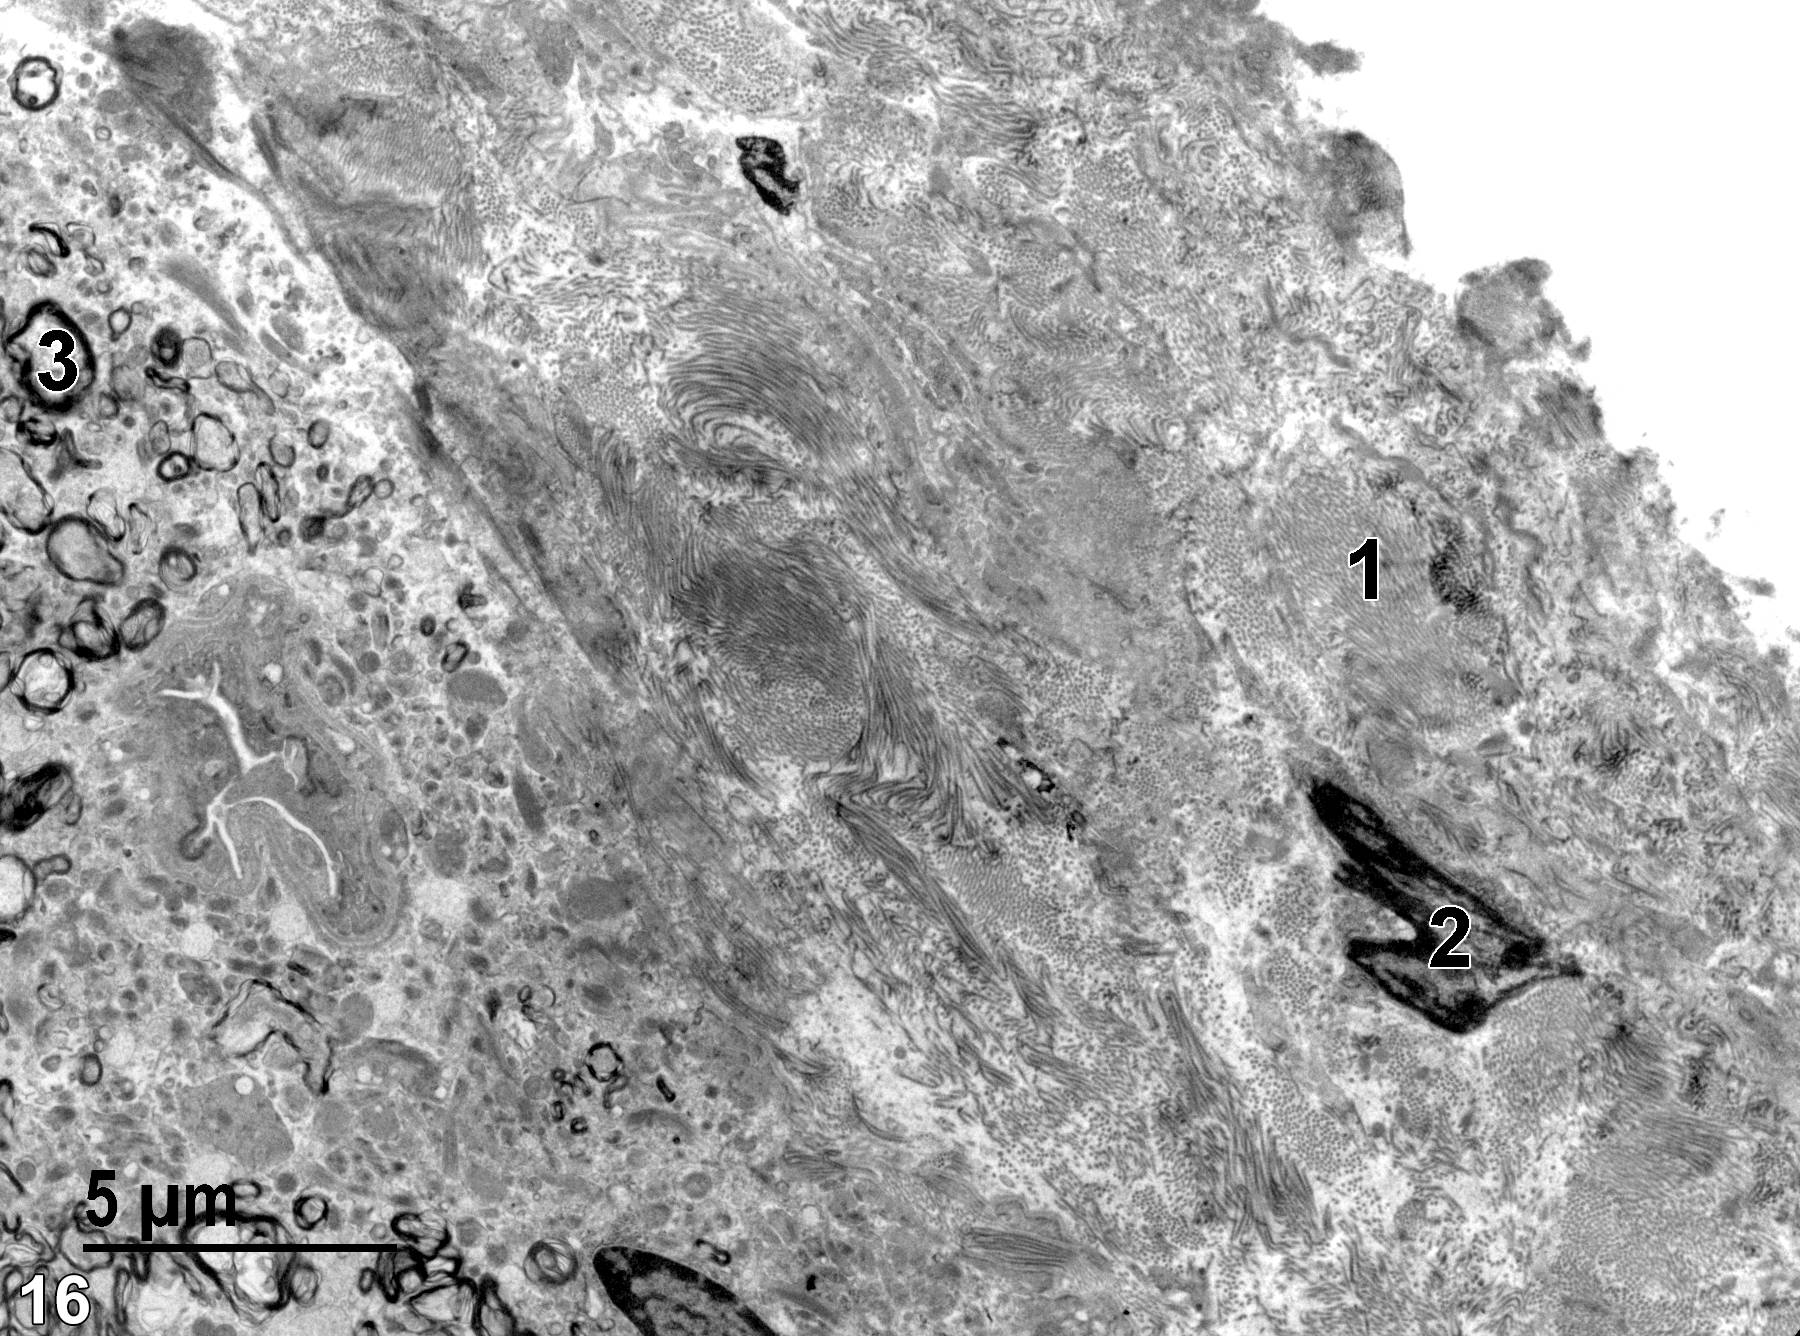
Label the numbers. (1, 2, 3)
1: collagen fibers
2: nucleus of a fibroblast
3: myelinated axon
